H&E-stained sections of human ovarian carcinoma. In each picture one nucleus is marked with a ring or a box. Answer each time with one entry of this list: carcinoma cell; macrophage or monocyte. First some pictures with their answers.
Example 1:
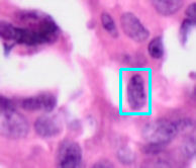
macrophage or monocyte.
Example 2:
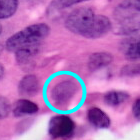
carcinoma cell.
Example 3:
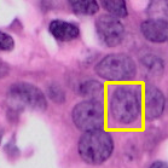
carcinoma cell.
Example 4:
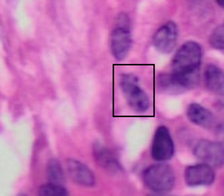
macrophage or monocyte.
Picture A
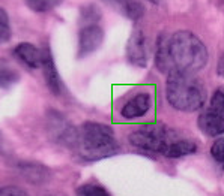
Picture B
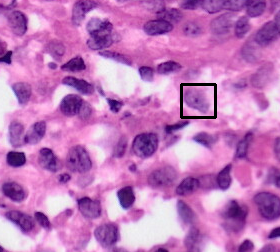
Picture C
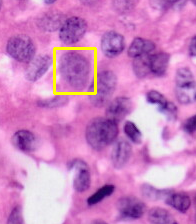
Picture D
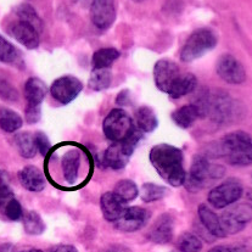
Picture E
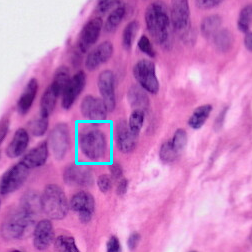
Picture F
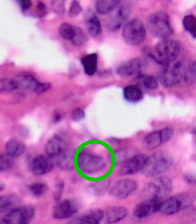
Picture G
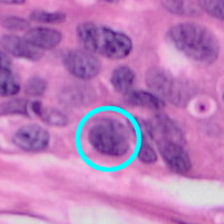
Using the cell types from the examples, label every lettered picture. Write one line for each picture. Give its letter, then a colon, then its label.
A: macrophage or monocyte.
B: macrophage or monocyte.
C: carcinoma cell.
D: macrophage or monocyte.
E: carcinoma cell.
F: carcinoma cell.
G: carcinoma cell.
